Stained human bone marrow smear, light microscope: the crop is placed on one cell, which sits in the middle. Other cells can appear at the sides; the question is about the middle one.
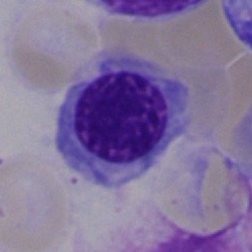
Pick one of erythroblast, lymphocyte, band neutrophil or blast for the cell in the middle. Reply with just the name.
erythroblast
